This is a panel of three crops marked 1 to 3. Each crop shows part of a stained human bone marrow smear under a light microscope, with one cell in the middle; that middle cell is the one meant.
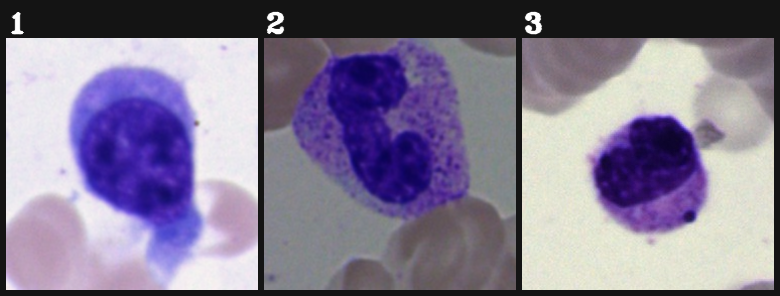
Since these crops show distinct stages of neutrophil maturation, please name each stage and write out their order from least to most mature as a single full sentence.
Ranked by maturation stage, earliest first, the crops read crop 1 (a promyelocyte), crop 3 (a metamyelocyte) and crop 2 (a band neutrophil).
